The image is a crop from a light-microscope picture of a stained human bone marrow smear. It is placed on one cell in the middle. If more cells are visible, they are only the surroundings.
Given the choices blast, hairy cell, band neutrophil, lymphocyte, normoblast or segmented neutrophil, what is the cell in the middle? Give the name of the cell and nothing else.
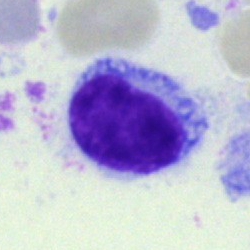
hairy cell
